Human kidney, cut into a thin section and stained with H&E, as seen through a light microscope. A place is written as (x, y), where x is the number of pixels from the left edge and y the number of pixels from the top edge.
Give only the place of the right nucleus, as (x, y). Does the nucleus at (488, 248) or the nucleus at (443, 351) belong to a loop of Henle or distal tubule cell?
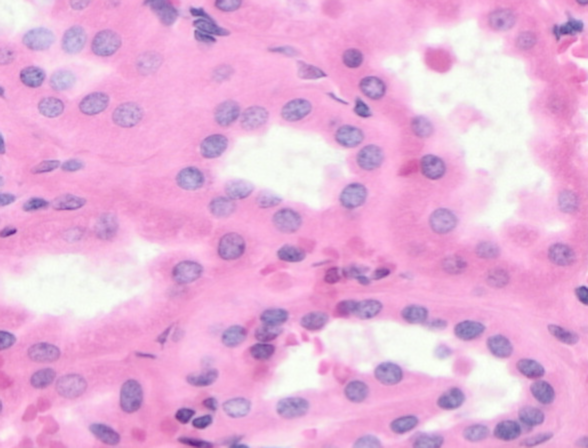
(443, 351)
